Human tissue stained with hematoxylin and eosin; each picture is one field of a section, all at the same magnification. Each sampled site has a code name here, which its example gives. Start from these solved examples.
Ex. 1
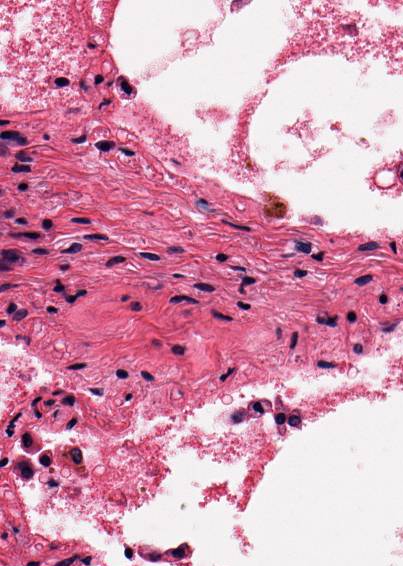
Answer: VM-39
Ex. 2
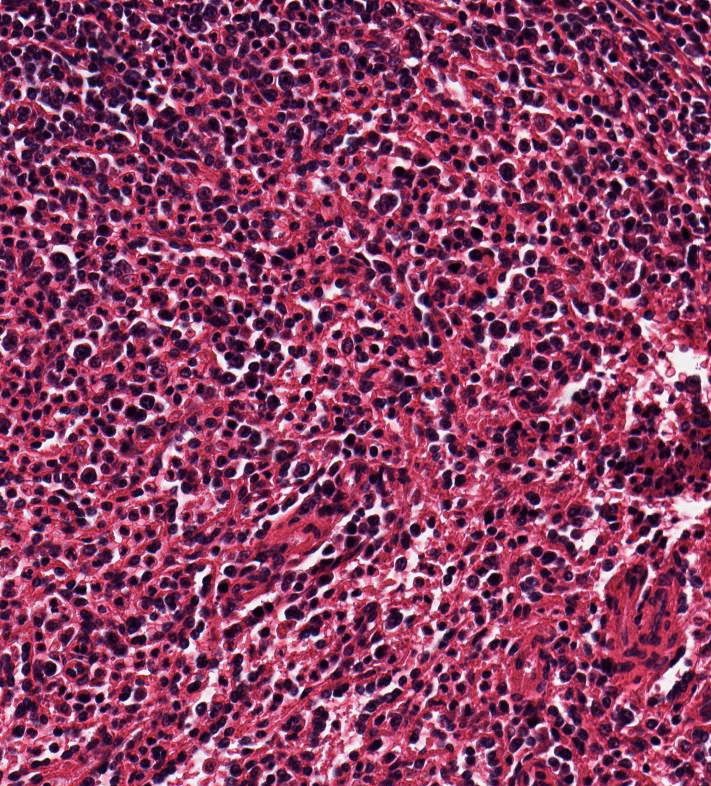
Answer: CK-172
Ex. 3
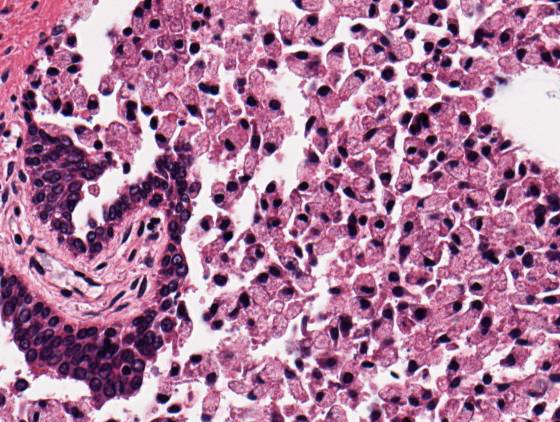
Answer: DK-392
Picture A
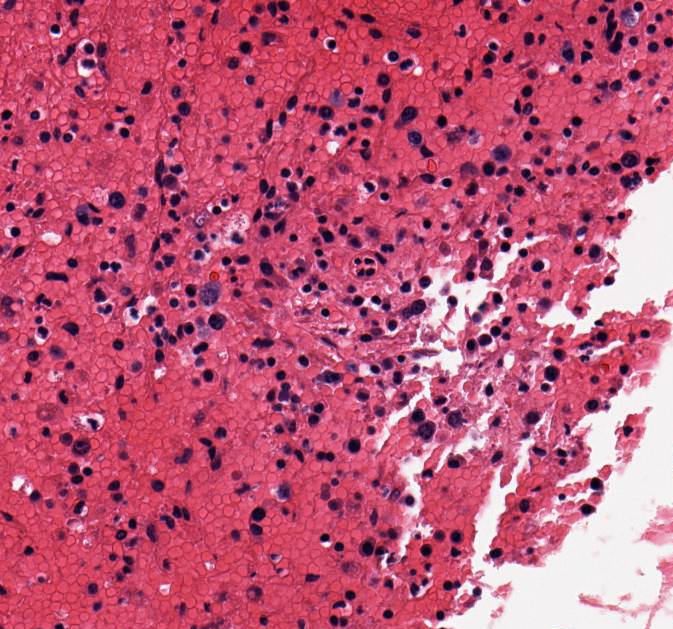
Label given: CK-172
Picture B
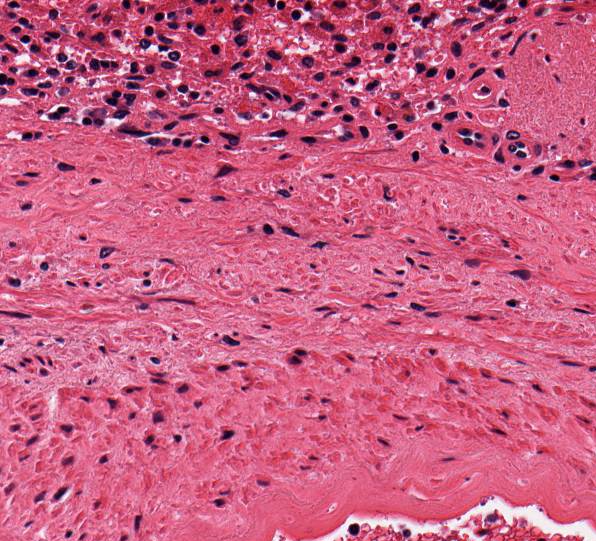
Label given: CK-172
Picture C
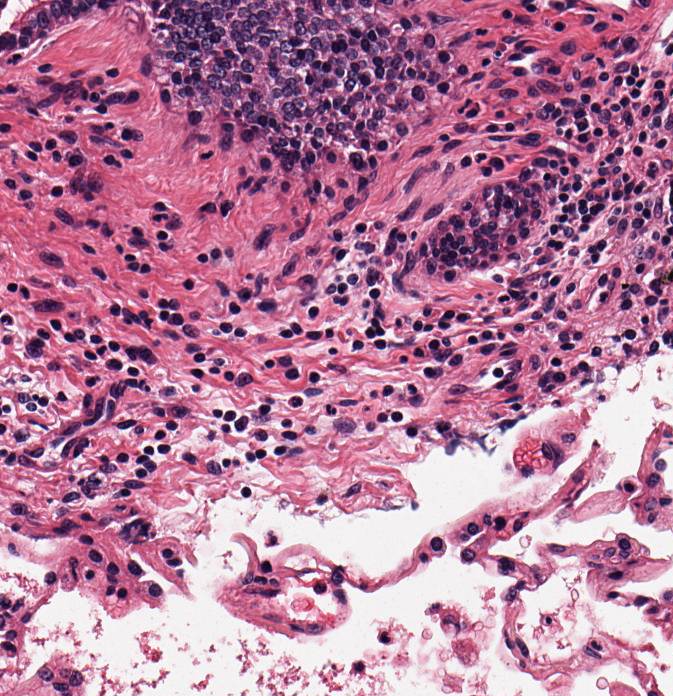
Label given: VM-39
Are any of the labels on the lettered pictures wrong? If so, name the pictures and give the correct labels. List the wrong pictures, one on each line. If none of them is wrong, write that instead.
No label is wrong.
